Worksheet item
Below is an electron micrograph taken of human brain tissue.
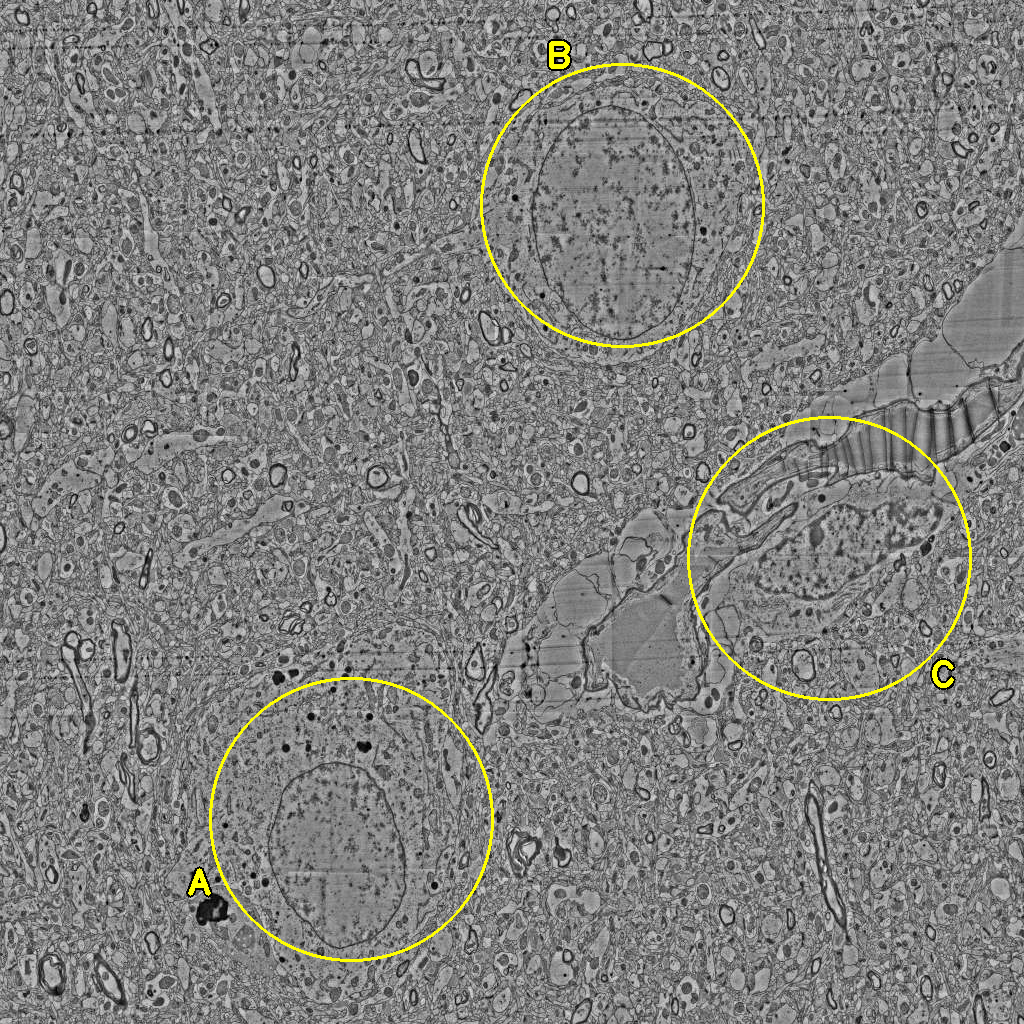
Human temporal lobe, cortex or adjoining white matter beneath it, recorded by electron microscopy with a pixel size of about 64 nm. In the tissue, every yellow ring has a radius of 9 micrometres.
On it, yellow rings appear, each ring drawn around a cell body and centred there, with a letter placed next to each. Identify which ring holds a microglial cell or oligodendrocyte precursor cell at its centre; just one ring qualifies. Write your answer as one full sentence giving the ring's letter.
Ring C has the cell asked for right at its centre in the picture.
